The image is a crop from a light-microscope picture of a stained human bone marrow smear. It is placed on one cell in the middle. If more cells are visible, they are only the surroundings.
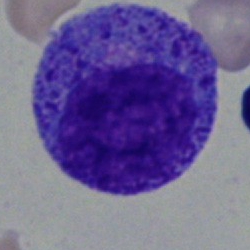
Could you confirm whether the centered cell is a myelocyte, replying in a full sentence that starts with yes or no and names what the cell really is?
No, the central cell in this crop is a promyelocyte and not a myelocyte.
